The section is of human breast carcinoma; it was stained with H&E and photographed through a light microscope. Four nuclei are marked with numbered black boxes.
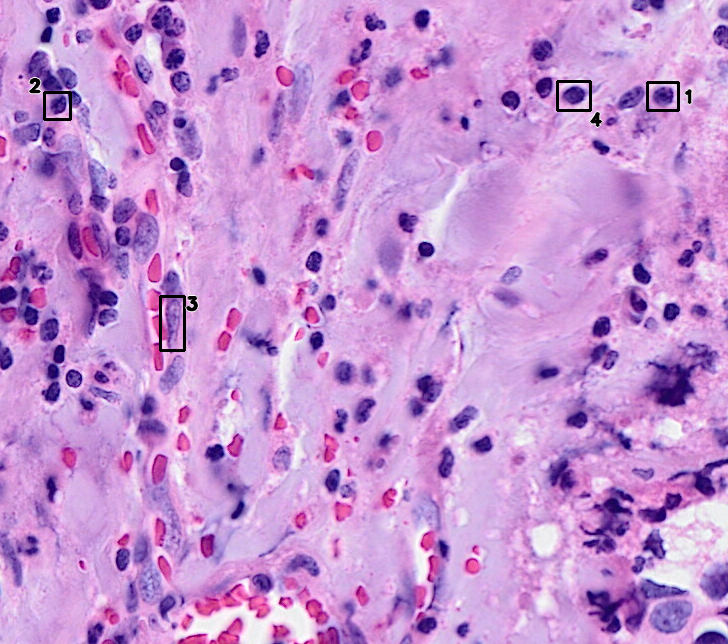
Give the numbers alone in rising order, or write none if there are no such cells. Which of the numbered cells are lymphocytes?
1, 2, 4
